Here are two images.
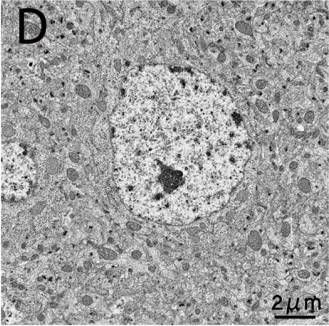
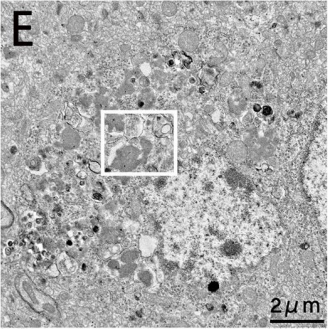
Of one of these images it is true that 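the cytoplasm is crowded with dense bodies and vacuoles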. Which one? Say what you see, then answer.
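The second image. Second image: the cytoplasm is packed with many dense grey inclusions and clear vacuoles. First image: a round nucleus sits in cytoplasm with ordinary small organelles and no crowding of inclusions.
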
